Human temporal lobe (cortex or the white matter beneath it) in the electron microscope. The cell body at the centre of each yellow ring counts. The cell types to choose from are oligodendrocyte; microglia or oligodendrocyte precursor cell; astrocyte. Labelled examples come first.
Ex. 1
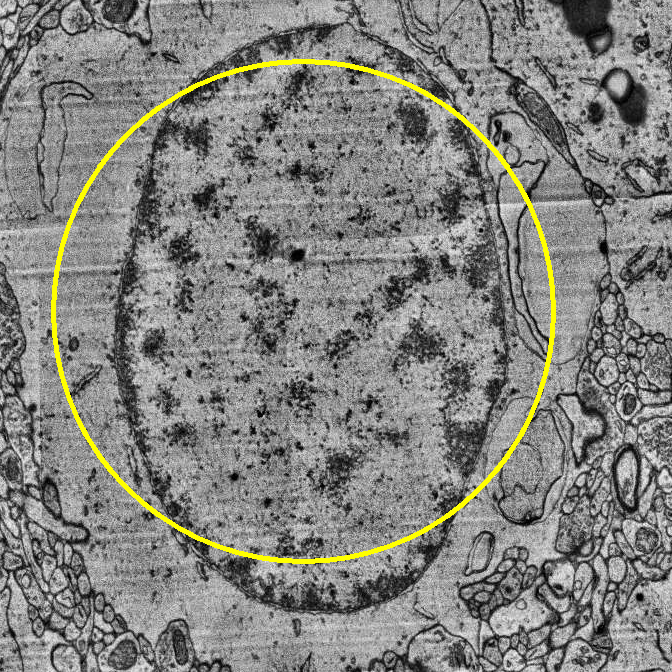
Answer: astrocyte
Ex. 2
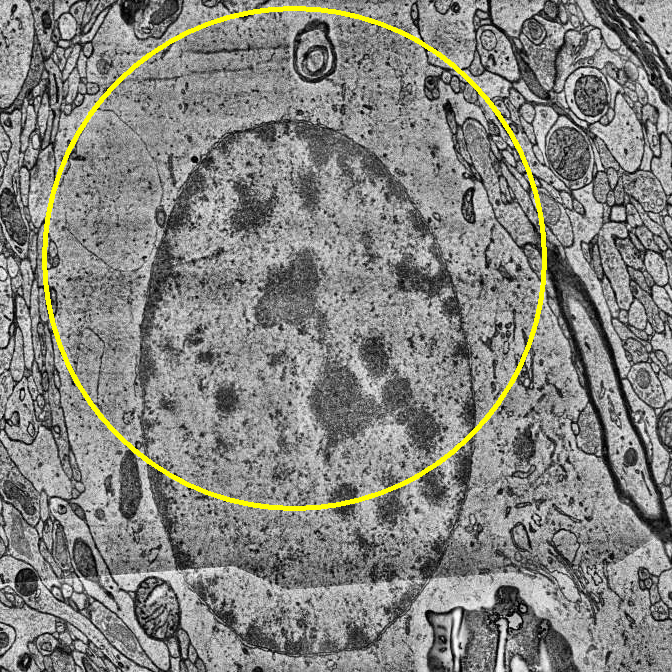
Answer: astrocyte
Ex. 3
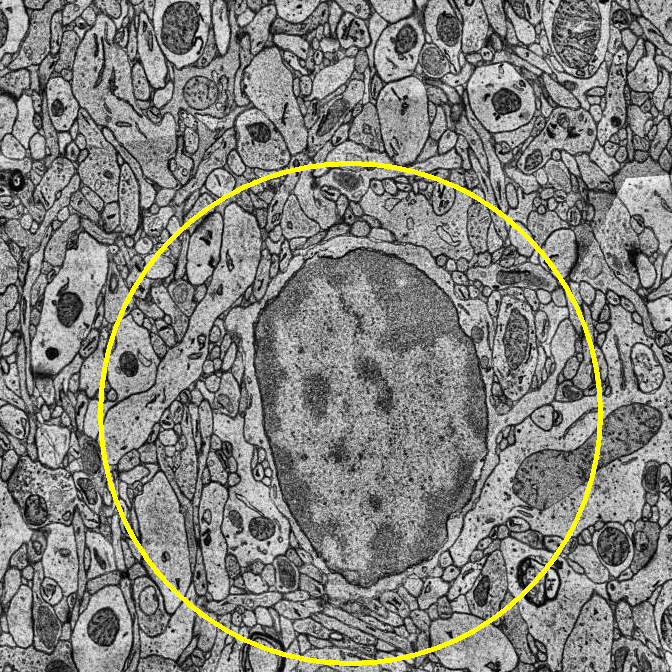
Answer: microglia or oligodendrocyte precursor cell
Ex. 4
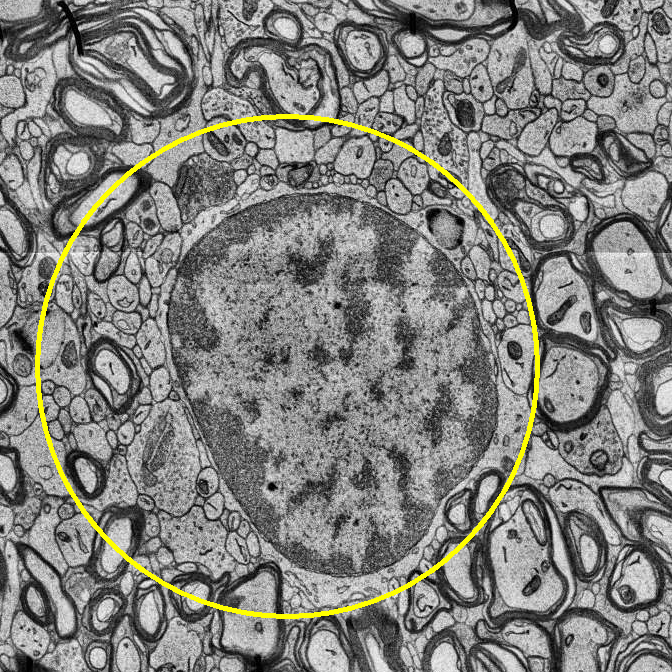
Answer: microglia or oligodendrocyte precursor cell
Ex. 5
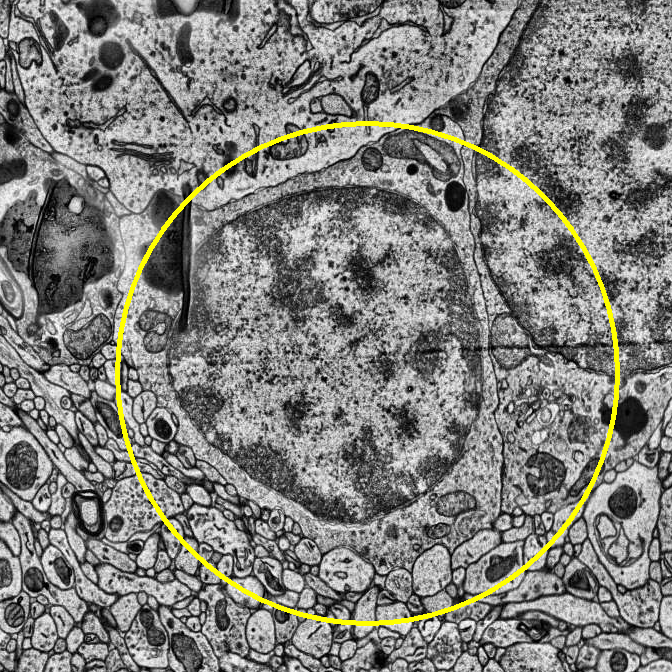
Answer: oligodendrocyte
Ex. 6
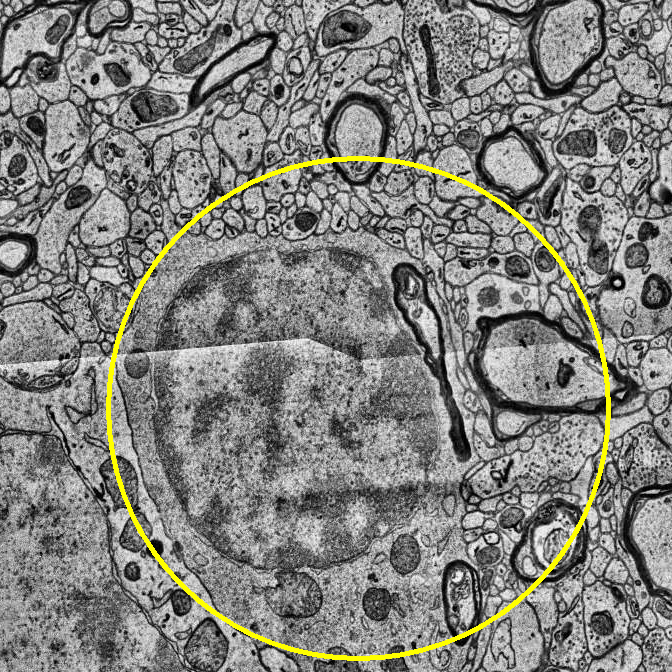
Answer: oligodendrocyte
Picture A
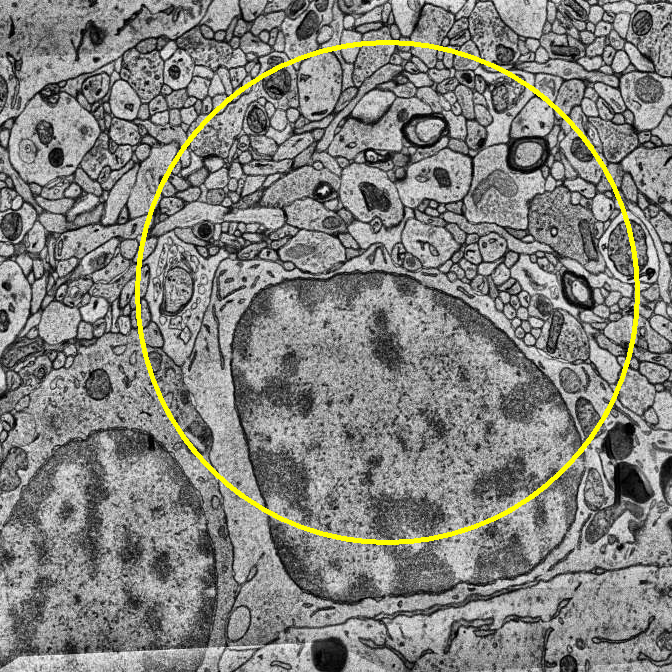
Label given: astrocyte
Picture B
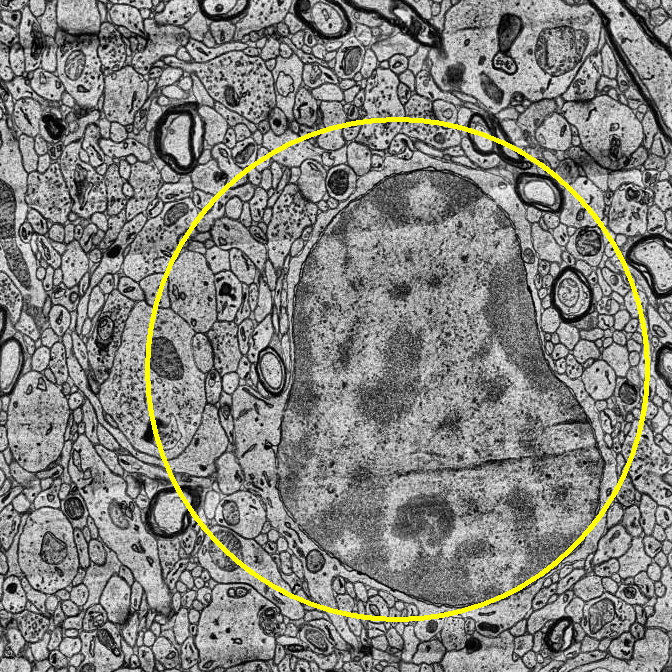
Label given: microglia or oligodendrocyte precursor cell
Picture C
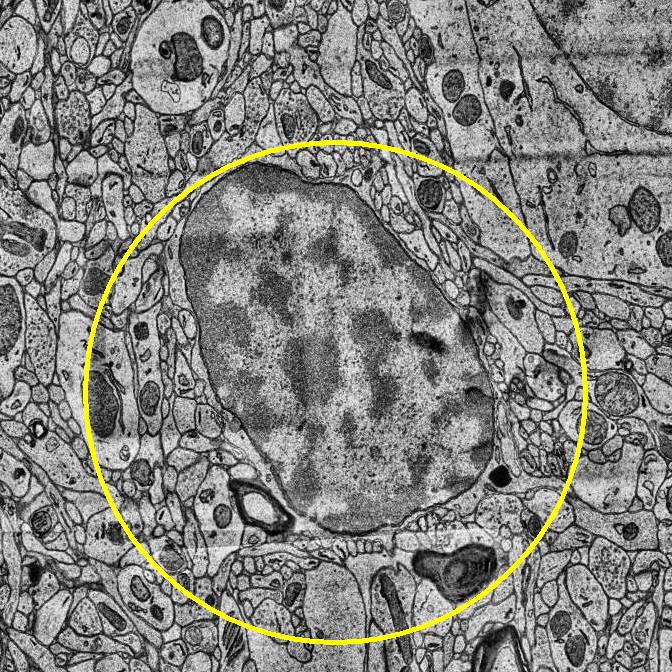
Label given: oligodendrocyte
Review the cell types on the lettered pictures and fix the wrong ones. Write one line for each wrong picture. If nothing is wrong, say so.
A: not astrocyte but microglia or oligodendrocyte precursor cell
C: not oligodendrocyte but microglia or oligodendrocyte precursor cell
